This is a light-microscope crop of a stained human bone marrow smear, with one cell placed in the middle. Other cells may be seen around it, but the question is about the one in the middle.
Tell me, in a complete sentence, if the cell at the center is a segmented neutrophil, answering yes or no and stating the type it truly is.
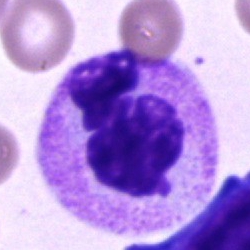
Yes, the cell in the middle of this smear crop is a segmented neutrophil.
